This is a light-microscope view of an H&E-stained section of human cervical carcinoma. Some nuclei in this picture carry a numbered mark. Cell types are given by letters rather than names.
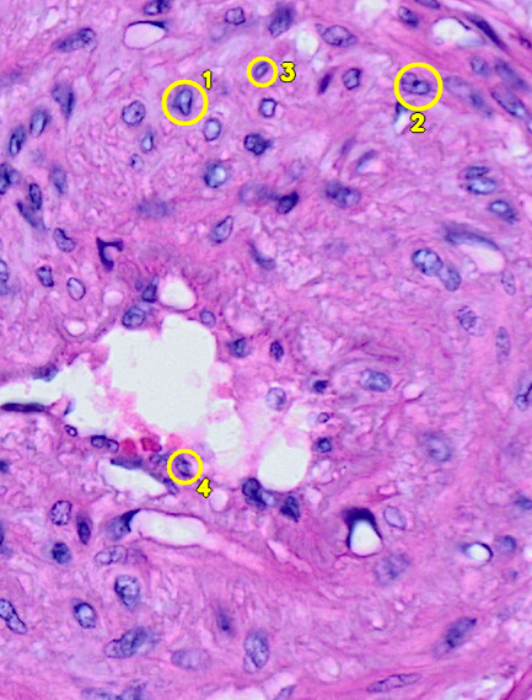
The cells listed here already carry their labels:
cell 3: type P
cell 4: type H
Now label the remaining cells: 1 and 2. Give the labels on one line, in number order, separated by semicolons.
type P; type P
